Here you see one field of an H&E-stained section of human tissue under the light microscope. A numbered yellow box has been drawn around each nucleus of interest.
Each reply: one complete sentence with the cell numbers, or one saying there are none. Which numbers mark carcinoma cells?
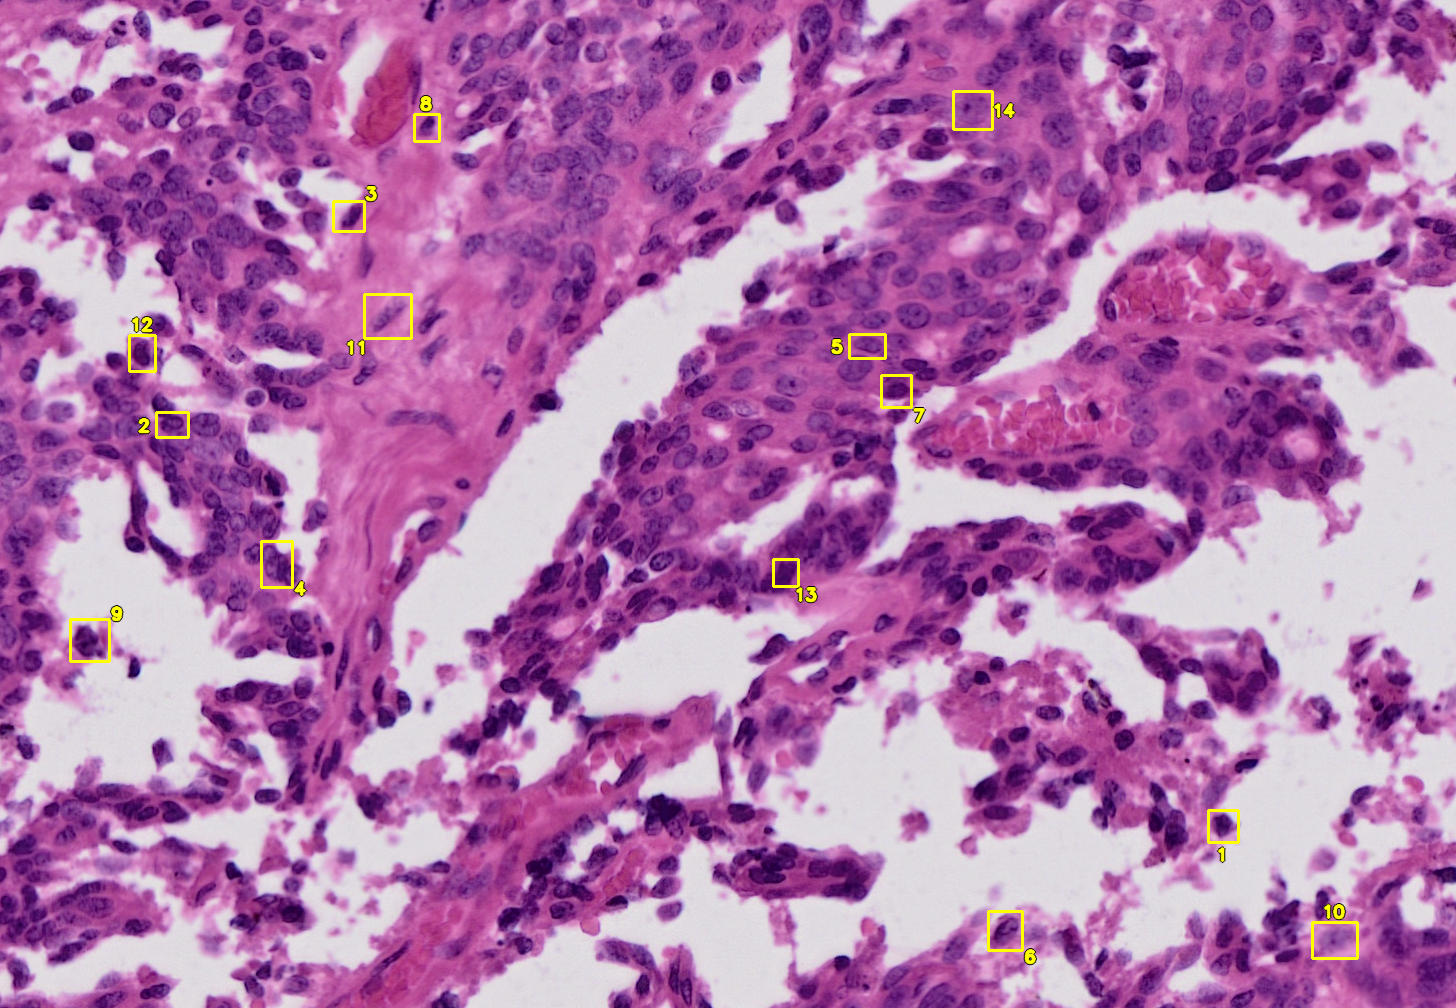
Cells 2, 4, 5, 7, 10, 12, 13 and 14 in the section are typed as carcinoma cells.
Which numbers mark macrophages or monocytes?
Cells numbered 1, 3, 6, 8 and 9 belong to the group of macrophages or monocytes.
